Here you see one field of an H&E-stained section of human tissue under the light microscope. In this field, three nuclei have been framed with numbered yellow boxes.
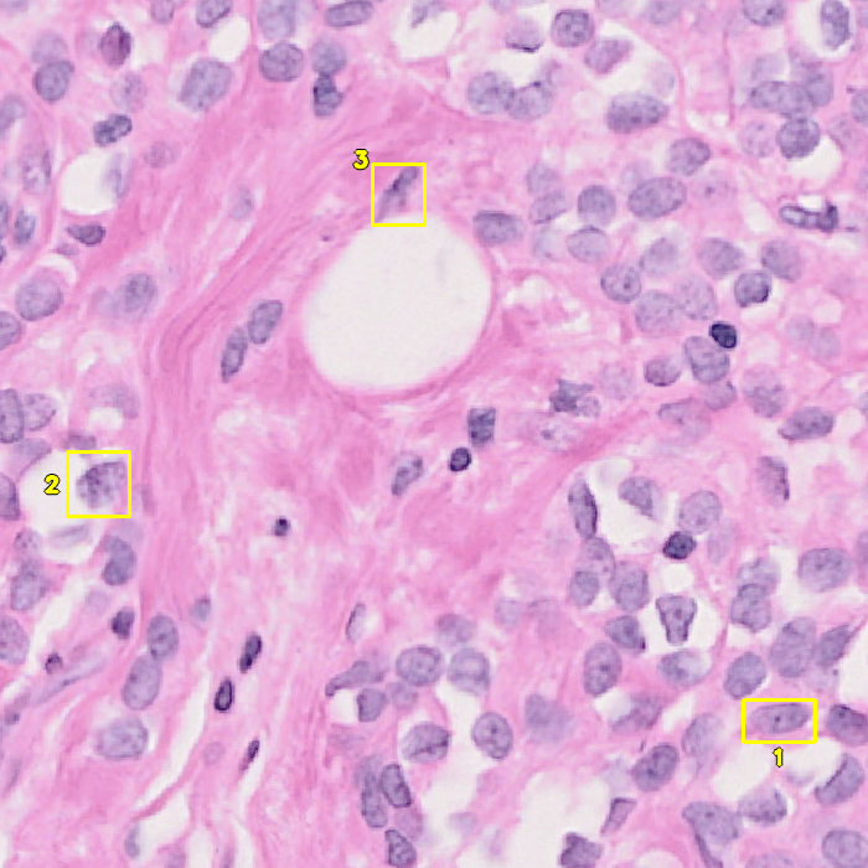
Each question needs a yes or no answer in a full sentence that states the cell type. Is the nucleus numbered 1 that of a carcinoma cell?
Yes, the cell marked by the number 1 is a carcinoma cell.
